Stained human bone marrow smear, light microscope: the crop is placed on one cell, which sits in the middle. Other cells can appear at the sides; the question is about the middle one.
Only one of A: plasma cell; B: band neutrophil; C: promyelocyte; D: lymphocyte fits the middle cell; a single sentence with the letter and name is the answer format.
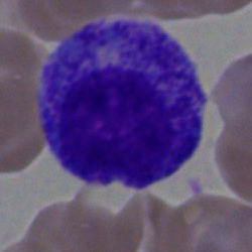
Option C is the keyed answer: the cell in the middle is a promyelocyte.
